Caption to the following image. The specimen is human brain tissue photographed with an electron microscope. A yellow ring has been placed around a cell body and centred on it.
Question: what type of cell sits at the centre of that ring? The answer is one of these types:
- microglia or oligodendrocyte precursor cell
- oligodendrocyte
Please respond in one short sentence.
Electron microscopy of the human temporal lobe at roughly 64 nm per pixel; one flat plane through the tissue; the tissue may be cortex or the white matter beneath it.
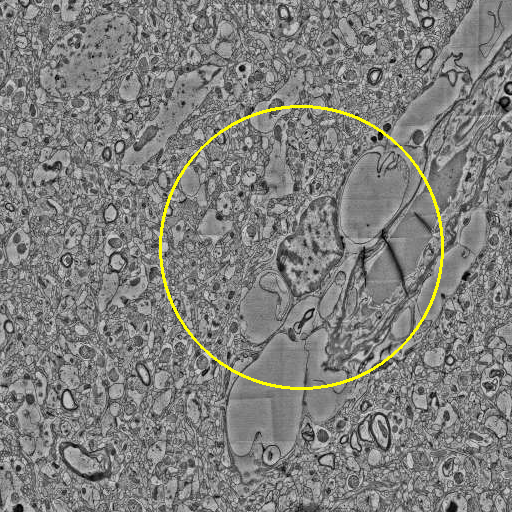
The ring surrounds the cell body of a microglial cell or oligodendrocyte precursor cell.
